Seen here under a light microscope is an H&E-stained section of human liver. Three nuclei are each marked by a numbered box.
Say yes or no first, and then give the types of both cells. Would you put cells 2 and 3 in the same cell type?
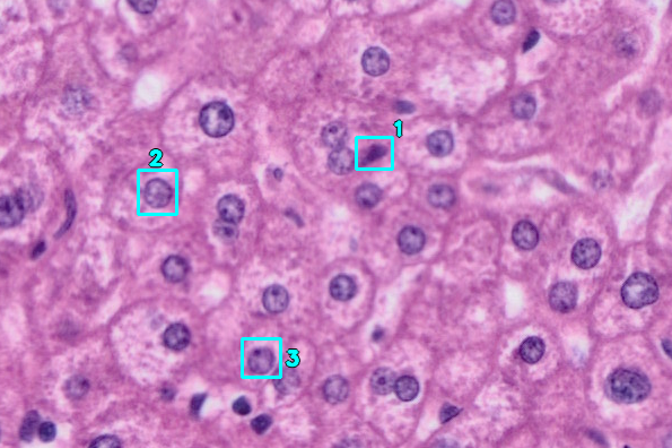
Yes, both are hepatocytes.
